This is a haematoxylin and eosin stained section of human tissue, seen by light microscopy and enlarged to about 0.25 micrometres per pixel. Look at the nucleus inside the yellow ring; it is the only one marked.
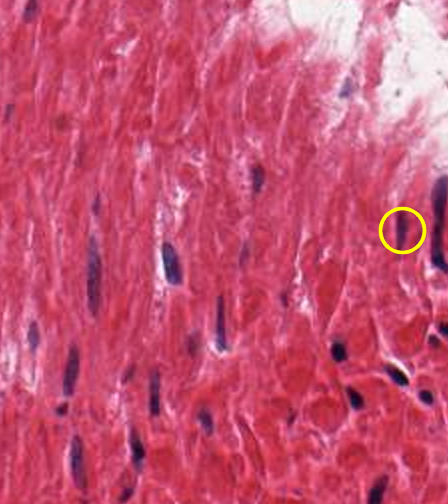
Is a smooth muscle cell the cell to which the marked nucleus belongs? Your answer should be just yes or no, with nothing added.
yes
